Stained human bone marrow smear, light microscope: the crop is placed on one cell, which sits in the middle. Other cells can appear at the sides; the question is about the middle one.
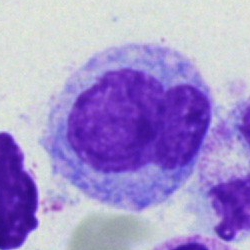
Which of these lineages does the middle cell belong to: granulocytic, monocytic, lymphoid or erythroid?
monocytic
